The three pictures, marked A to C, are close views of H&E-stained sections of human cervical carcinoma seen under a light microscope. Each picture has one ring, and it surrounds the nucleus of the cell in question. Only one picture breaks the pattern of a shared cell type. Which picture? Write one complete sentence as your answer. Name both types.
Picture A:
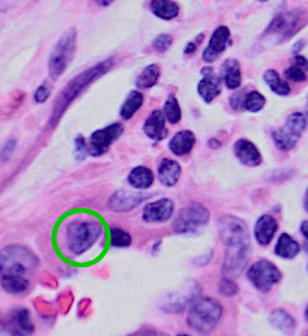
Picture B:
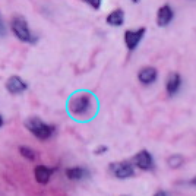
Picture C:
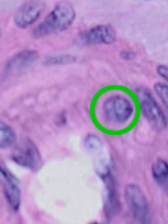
The others show smooth muscle cells, but picture A shows an endothelial cell.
